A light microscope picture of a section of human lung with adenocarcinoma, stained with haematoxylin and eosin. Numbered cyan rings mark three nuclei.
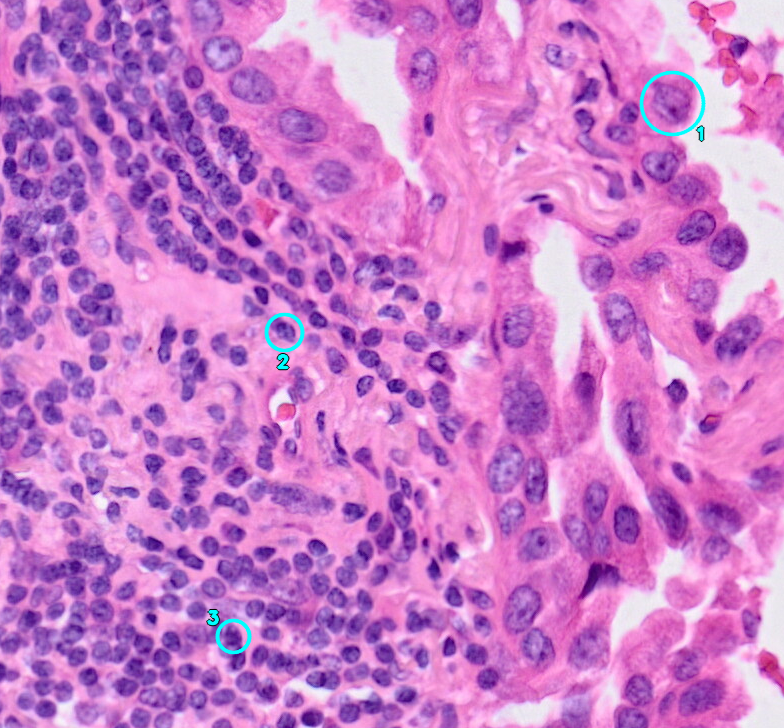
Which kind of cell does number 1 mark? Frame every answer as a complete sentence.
Classified as a carcinoma cell is the cell with the number 1.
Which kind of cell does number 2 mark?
The cell pointed out as number 2 is a lymphocyte.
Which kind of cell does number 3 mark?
At number 3, the marked cell is a lymphocyte.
